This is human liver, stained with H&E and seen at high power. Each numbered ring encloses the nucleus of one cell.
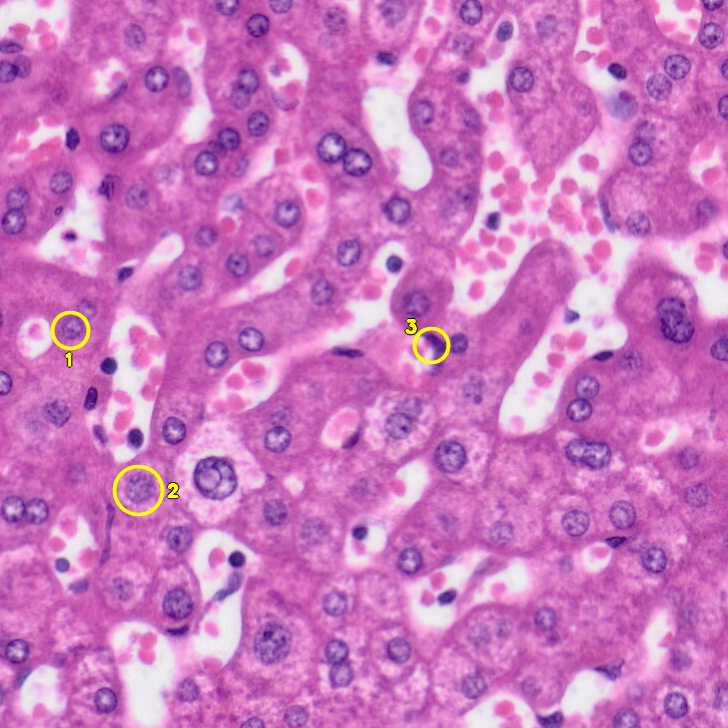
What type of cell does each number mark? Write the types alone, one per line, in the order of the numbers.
hepatocyte
hepatocyte
fibroblast or stellate cell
